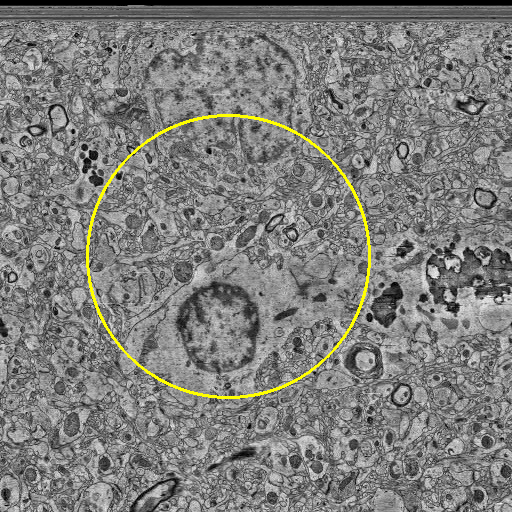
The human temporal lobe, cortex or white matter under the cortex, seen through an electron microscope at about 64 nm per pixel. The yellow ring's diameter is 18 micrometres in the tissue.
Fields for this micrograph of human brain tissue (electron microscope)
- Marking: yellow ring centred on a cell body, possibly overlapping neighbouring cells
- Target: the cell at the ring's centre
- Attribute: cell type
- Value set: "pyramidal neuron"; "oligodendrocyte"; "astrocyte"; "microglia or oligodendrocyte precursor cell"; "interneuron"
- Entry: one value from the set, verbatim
astrocyte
